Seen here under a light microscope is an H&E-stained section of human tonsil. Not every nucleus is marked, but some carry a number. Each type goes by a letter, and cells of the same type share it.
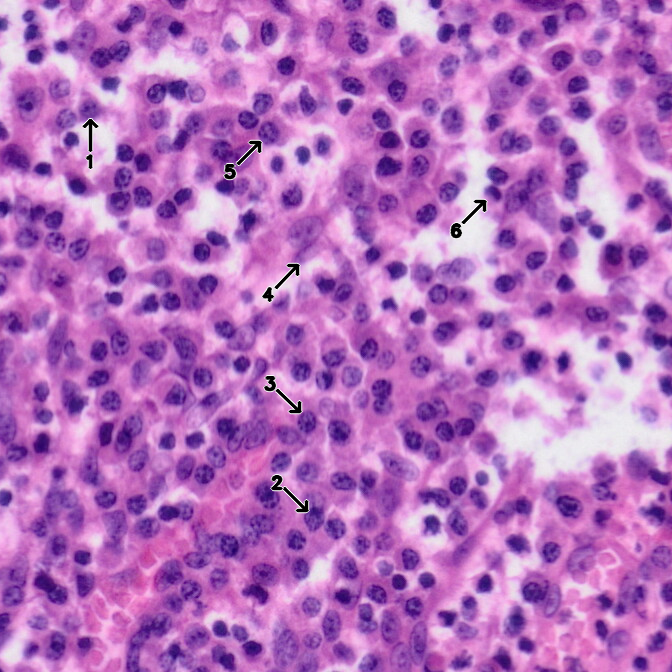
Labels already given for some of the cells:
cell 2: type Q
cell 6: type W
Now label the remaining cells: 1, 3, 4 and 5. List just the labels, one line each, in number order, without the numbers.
type Q
type Q
type W
type Q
